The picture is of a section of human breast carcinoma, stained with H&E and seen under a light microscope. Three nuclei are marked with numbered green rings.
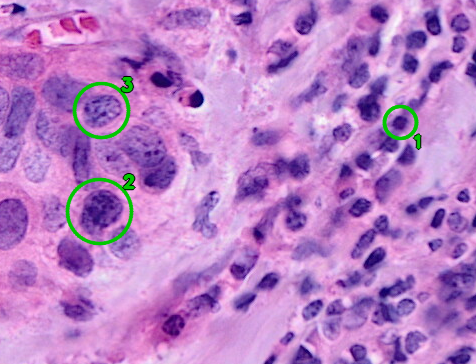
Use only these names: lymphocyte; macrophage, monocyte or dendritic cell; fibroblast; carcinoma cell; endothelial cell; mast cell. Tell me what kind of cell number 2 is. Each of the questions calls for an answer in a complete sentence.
It is as a carcinoma cell that the cell numbered 2 is identified.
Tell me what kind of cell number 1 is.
Cell 1 in the field is a lymphocyte.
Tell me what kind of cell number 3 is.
The marked cell bearing number 3 is a carcinoma cell.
